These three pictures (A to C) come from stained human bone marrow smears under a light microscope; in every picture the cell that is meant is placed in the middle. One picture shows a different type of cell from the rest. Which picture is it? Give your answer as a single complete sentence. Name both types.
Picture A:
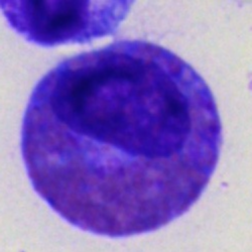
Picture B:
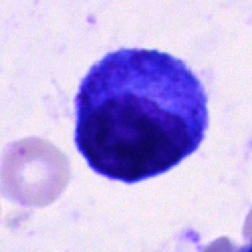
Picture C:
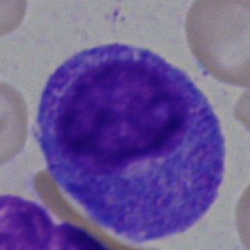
The others show promyelocytes, but picture A shows an eosinophil.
